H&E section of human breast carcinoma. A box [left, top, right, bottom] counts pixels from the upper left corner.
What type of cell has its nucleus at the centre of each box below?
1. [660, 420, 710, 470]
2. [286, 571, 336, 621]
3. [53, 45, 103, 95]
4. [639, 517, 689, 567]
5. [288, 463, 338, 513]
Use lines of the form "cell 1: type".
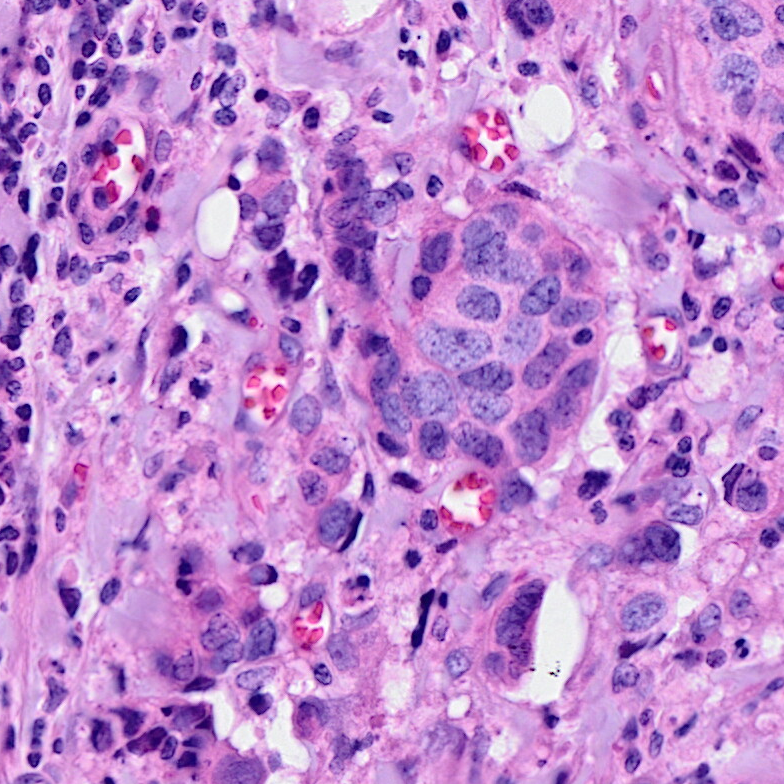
cell 1: lymphocyte
cell 2: endothelial cell
cell 3: lymphocyte
cell 4: carcinoma cell
cell 5: carcinoma cell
